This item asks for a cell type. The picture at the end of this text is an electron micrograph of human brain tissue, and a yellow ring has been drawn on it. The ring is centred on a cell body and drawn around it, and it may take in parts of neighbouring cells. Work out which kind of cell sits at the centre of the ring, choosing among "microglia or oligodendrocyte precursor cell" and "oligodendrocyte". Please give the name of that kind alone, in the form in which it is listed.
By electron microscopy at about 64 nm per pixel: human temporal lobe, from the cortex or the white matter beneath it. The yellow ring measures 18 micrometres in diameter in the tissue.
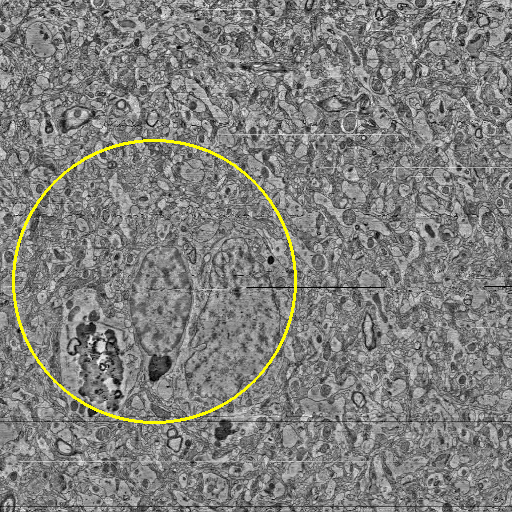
oligodendrocyte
